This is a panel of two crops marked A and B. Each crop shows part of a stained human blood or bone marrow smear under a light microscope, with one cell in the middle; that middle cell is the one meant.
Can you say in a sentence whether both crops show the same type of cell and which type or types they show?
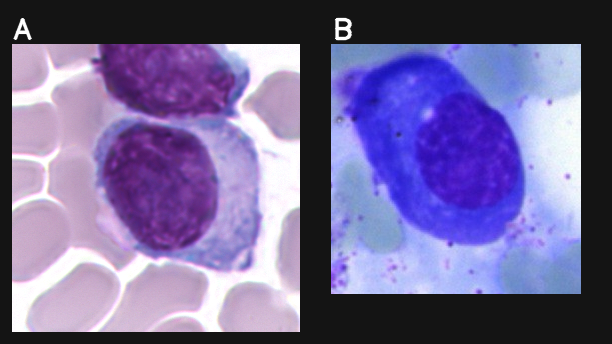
Yes, both crops show plasma cells at their middles.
